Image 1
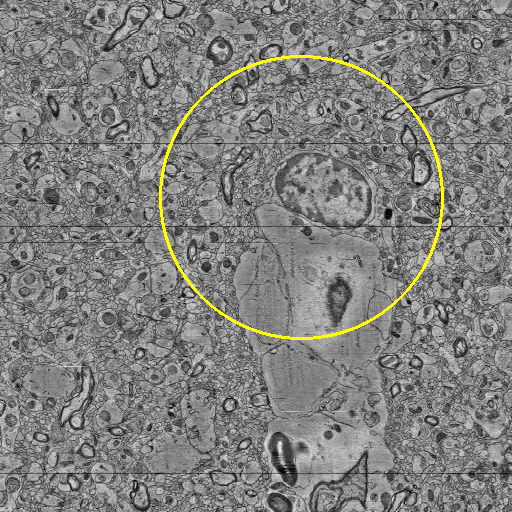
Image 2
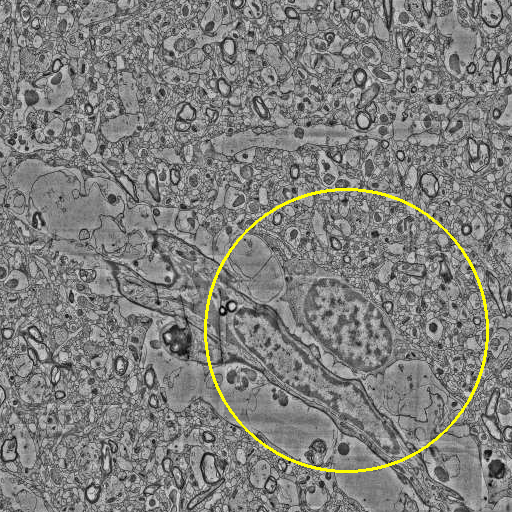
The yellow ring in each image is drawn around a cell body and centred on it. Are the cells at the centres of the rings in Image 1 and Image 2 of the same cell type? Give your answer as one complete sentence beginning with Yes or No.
No, the two cells are of two separate types.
